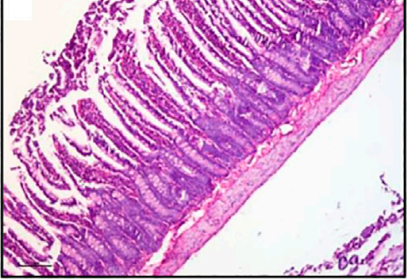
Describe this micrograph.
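This is a section through the wall of the small bowel, with mucosa resting on a thin pink muscular layer. The mucosa is made up of crowded, elongated villi and crypts lined by columnar epithelium with dark purple nuclei. The villi lie close together and appear narrow, with little pale core visible between the epithelial layers. At one edge of the lumen there is loose, fragmented purple-staining material lying free of the mucosal surface.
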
